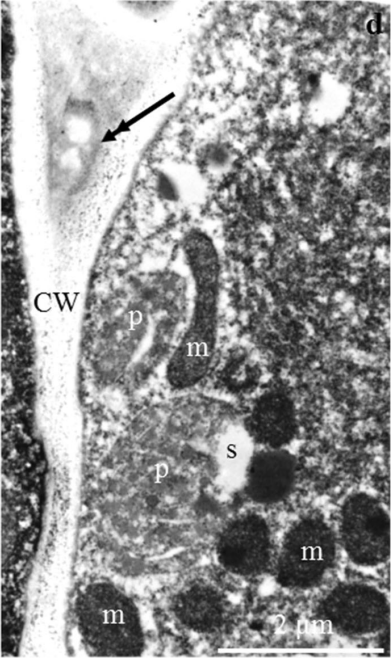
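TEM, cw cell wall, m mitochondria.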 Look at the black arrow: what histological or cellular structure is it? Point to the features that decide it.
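Intercellular spaces. The arrow points to a widened pale region where the cell walls meet. Small rounded inclusions lie within this region outside the cytoplasm.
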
